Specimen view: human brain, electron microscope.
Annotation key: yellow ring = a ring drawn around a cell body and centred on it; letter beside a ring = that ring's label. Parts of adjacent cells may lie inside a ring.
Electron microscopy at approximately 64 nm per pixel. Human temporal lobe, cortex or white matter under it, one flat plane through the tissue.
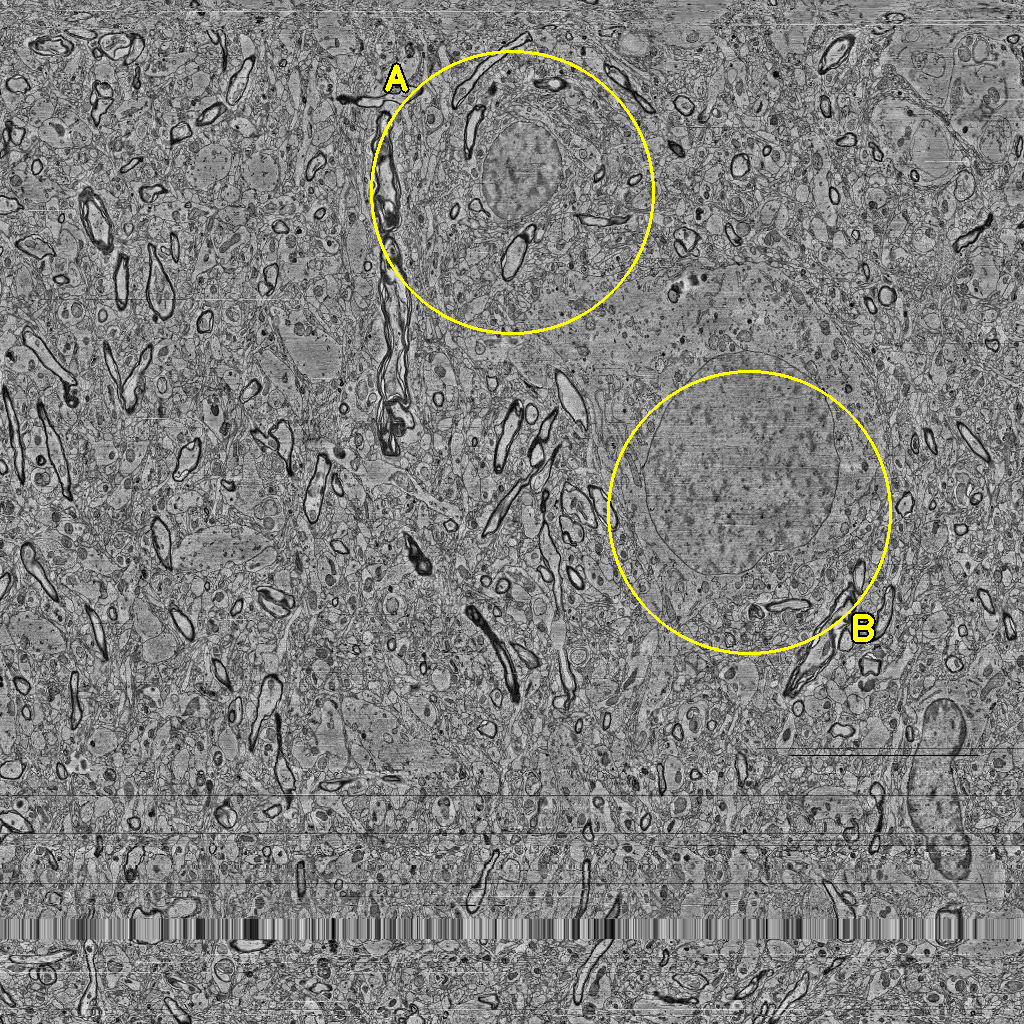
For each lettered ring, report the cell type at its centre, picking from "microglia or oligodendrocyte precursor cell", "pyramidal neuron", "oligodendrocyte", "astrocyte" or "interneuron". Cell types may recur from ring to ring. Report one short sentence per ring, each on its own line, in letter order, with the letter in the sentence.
The cell at the centre of ring A is an oligodendrocyte.
The cell at the centre of ring B is a pyramidal neuron.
